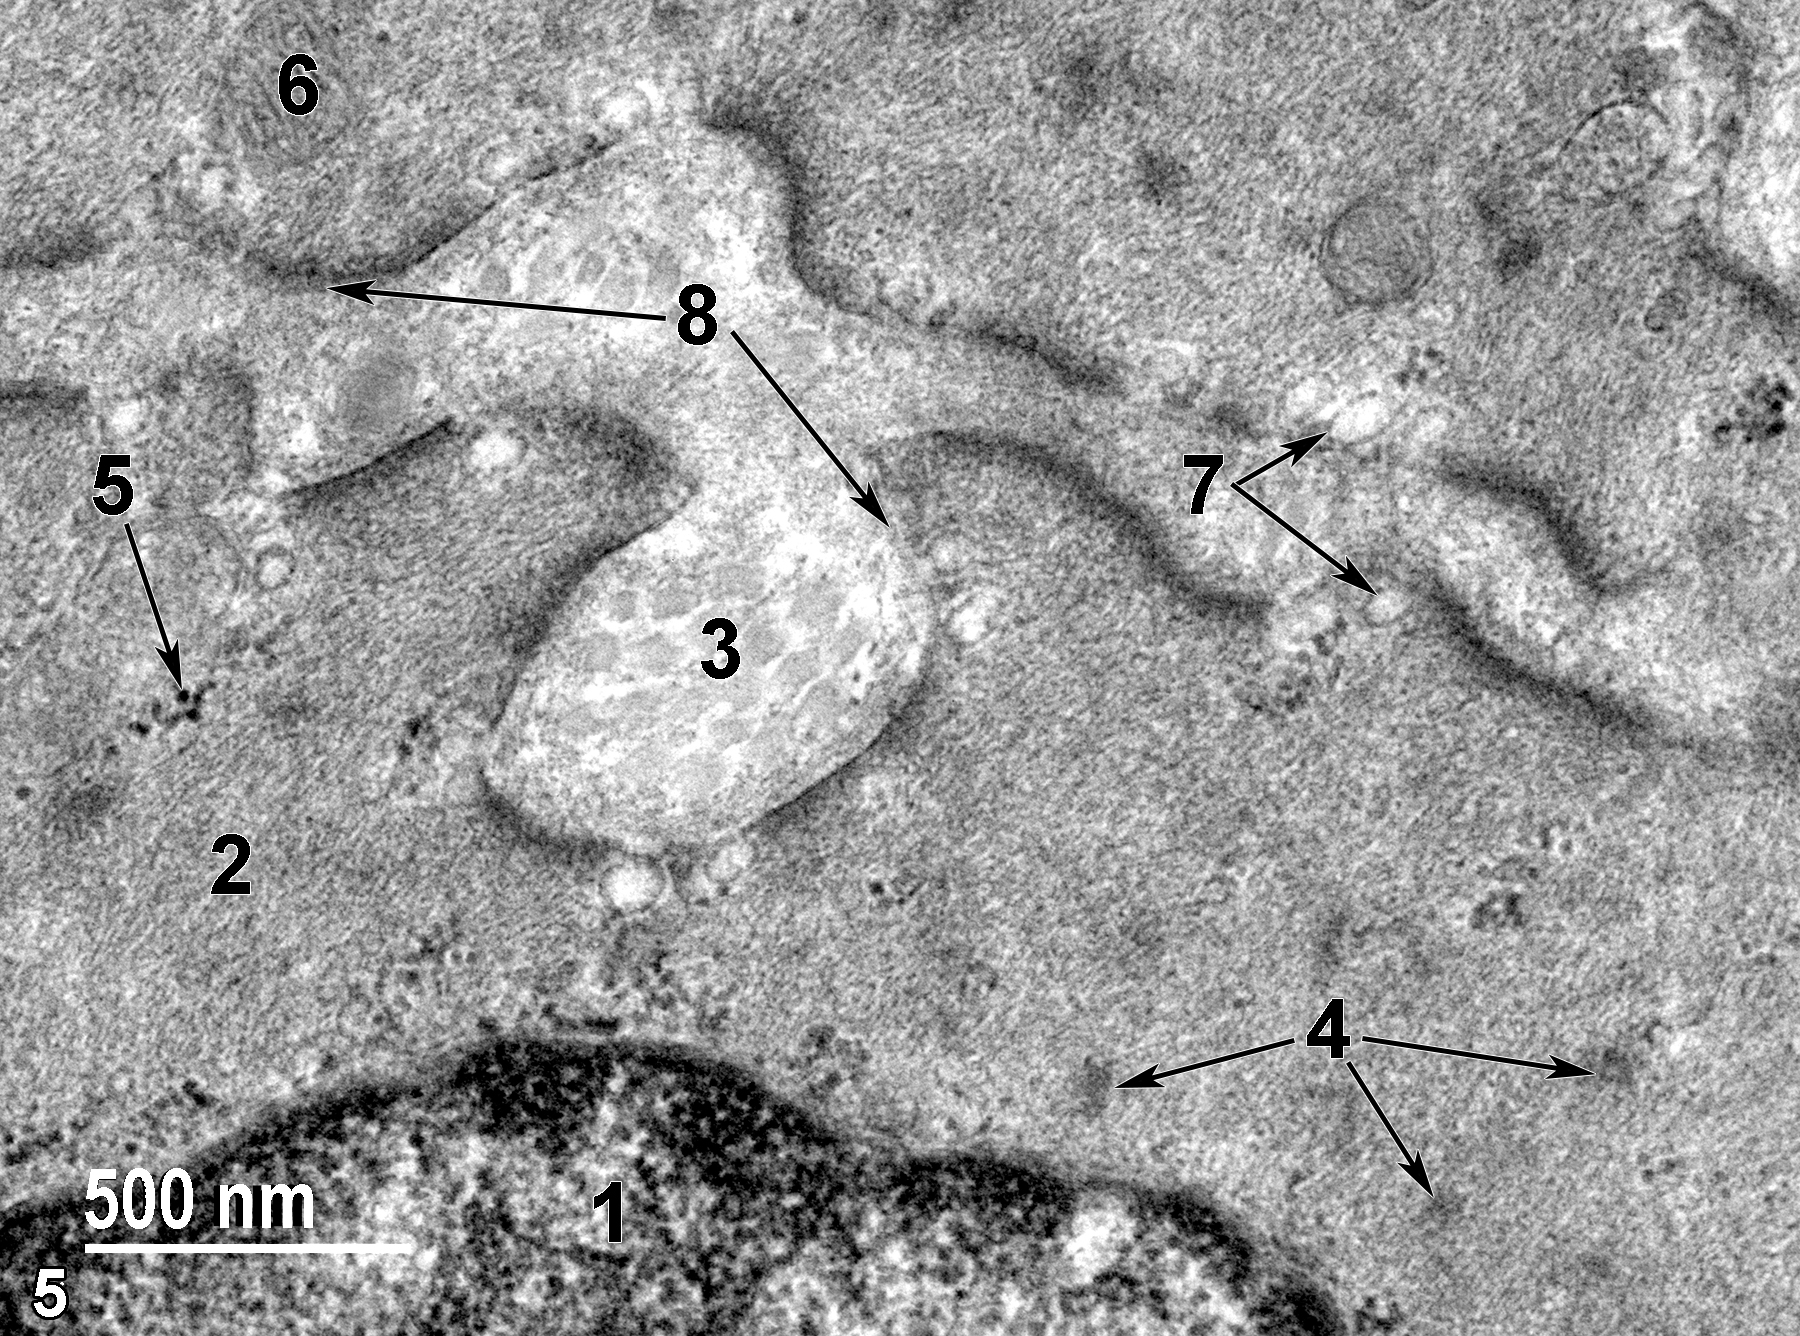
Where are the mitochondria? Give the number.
6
